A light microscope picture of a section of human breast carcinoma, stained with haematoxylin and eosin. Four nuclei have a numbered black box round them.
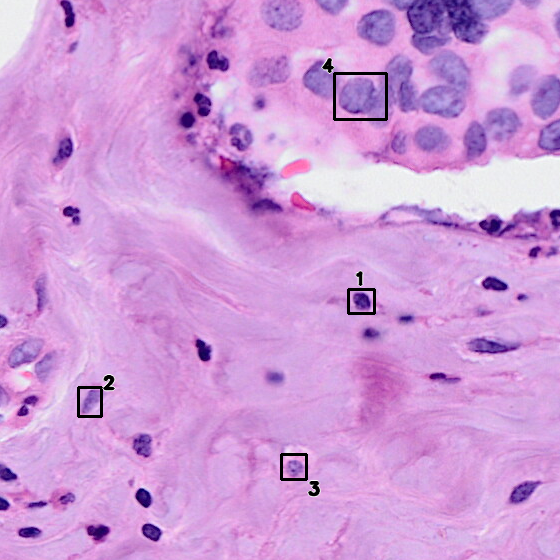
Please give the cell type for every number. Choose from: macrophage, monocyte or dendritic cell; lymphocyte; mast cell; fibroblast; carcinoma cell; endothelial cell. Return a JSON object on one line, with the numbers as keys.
{"1": "lymphocyte", "2": "fibroblast", "3": "mast cell", "4": "carcinoma cell"}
